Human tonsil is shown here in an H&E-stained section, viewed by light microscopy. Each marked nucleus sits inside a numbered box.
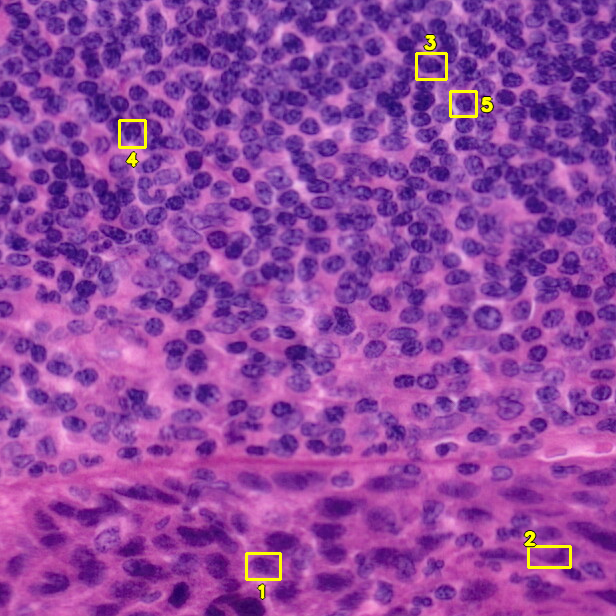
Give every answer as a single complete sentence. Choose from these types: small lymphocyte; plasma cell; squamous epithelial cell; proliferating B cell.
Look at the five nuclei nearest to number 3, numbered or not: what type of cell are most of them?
Of the five nuclei nearest to number 3, most belong to small lymphocytes.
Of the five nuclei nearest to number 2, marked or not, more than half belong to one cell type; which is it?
Around number 2, most of the five nearest nuclei are those of squamous epithelial cells.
